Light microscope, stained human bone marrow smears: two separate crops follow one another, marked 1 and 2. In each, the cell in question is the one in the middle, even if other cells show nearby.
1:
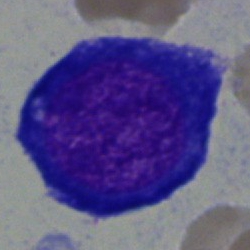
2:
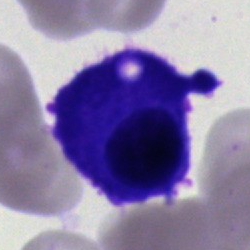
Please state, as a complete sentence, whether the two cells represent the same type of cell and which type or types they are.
No, in crop 1 there is a proerythroblast, and in crop 2 there is a plasma cell.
